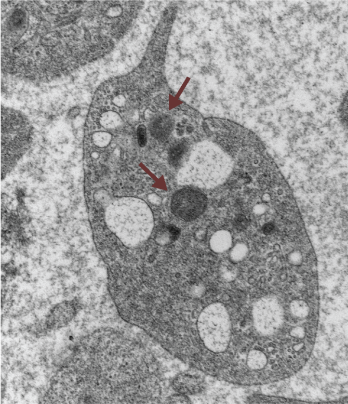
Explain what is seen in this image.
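A single platelet is seen in thin section as an oval, nucleus-free profile with a tapering projection, surrounded by finely granular material and parts of neighbouring cells. Its cytoplasm contains many pale, empty-looking vacuoles of varied size and almost no dense dark granules, with a couple of medium-grey mitochondria.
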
